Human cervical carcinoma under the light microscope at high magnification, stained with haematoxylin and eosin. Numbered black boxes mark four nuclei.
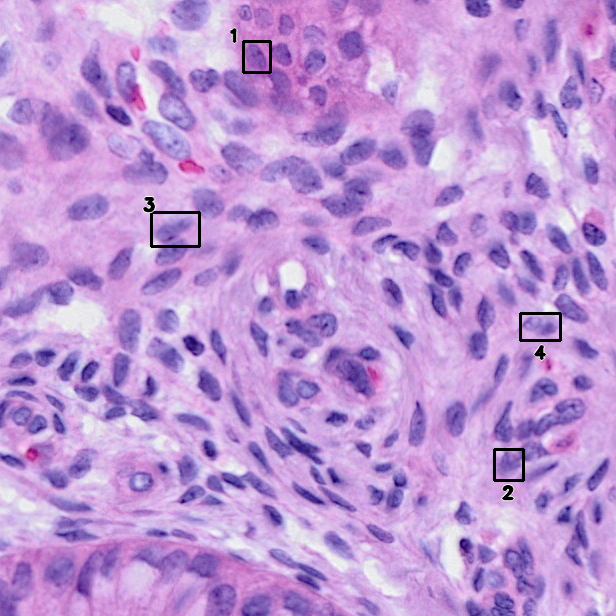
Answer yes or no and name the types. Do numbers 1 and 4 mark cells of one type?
No, cell 1 is a secretory epithelial cell, whereas a fibroblast is what cell 4 is.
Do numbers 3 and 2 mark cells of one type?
Yes, each of the two cells, 3 and 2, is among the fibroblasts.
